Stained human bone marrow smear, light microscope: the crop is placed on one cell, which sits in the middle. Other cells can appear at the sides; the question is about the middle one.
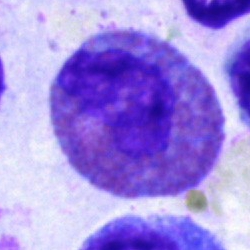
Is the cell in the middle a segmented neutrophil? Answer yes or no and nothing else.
no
